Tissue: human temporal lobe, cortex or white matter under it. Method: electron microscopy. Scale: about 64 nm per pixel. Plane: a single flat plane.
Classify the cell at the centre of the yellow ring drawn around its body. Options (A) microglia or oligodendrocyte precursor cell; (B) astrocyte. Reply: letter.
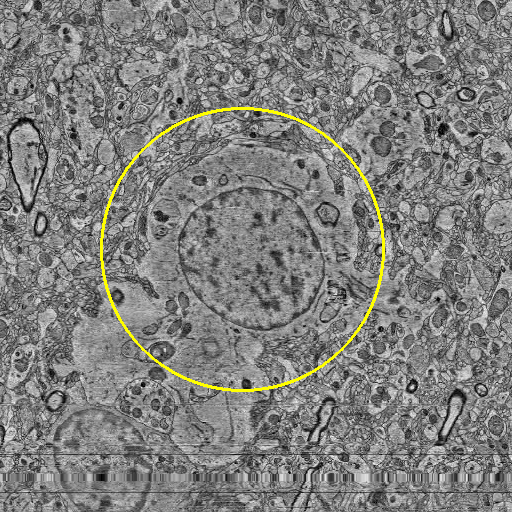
B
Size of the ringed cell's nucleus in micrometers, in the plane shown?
In this plane, roughly 9 micrometres across.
